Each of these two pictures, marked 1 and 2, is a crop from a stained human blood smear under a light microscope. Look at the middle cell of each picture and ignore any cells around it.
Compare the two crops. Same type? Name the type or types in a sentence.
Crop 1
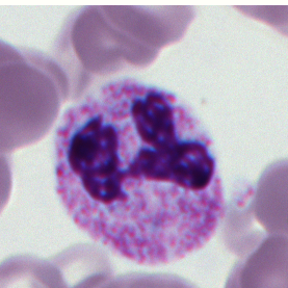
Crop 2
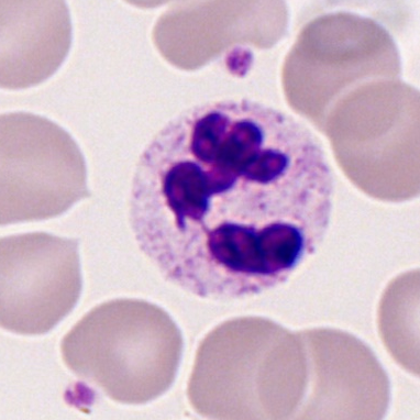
Yes, both crops have segmented neutrophils at the centre.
